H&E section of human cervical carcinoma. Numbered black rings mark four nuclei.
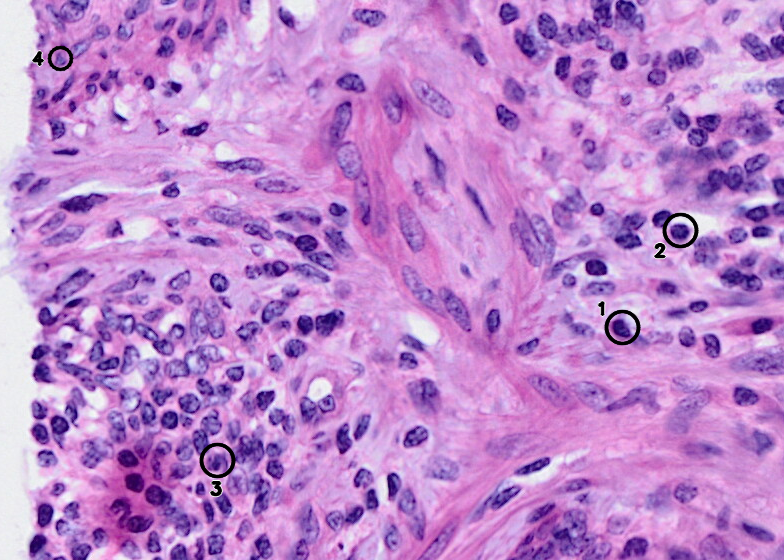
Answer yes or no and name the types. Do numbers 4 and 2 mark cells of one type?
No; cell 4 is a smooth muscle cell, whereas cell 2 is a lymphocyte.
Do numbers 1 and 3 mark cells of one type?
Yes, cells 1 and 3 both qualify as lymphocytes.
